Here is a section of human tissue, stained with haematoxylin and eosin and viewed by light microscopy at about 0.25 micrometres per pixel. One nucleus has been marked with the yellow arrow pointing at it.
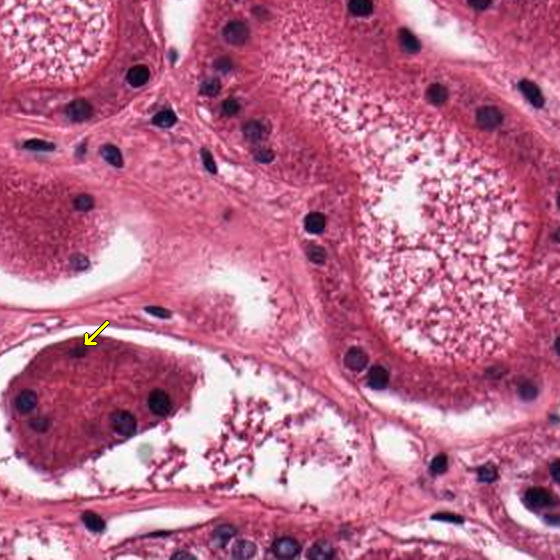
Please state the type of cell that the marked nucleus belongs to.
proximal tubule cell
